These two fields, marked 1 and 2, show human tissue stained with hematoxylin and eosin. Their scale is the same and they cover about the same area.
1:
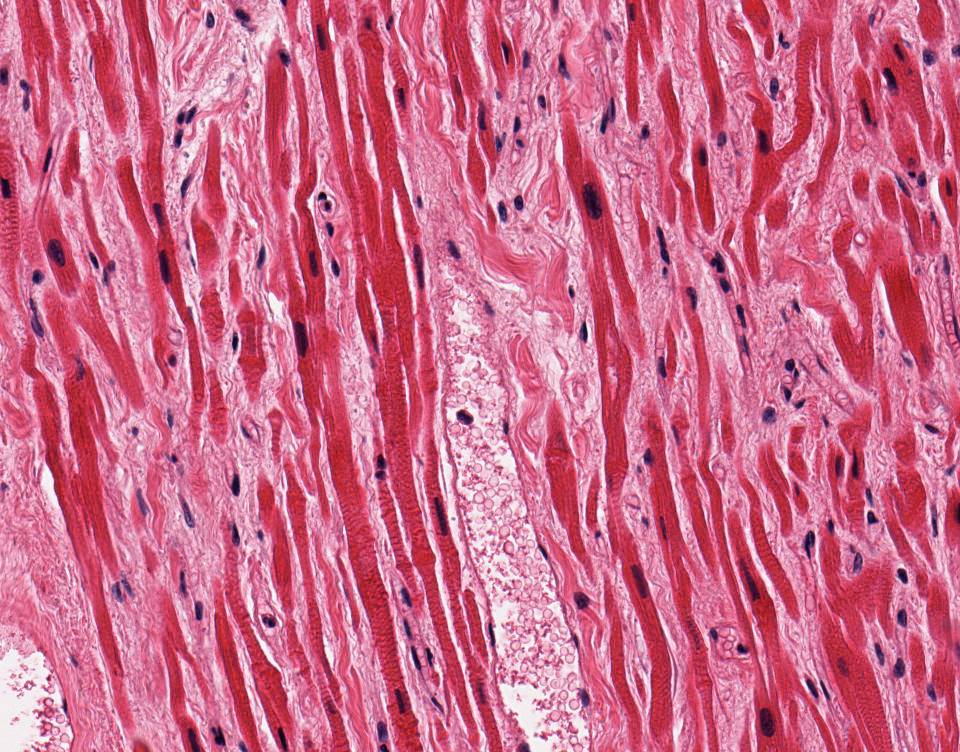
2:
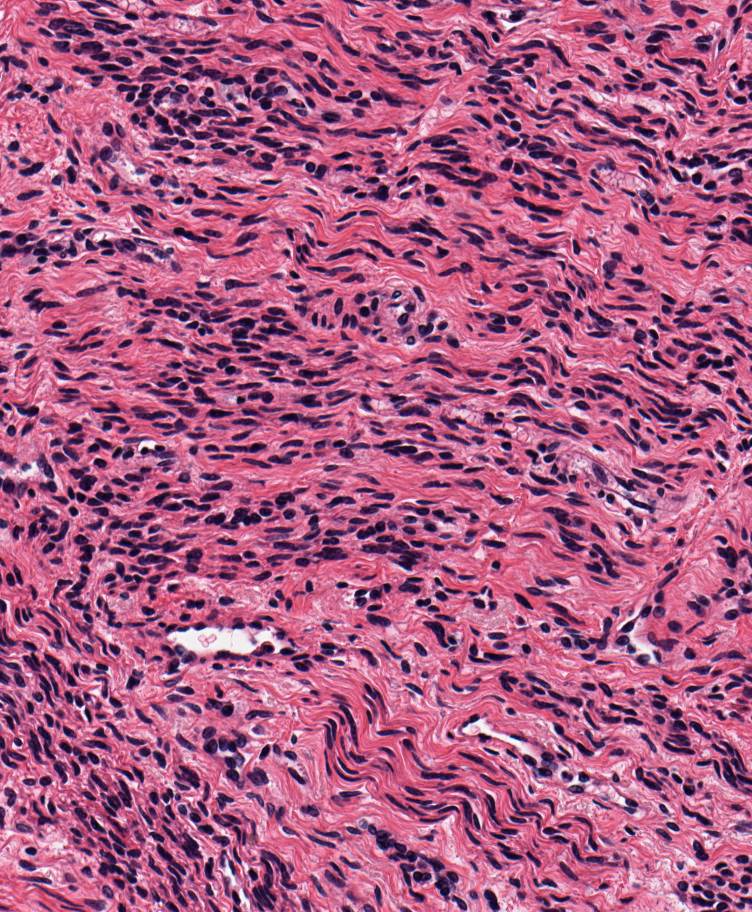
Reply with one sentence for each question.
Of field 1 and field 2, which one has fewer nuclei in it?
There are fewer nuclei in field 1.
